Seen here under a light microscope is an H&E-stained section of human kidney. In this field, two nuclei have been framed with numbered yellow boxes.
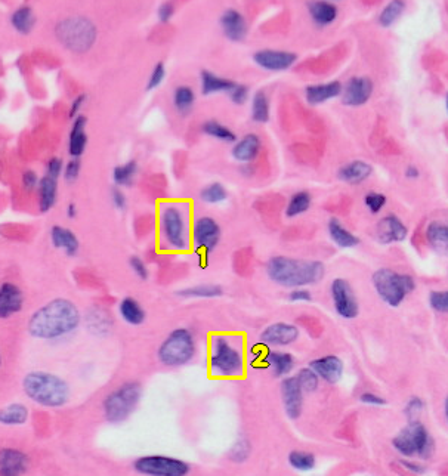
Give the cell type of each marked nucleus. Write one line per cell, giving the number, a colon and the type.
1: endothelial cell
2: loop of Henle or distal tubule cell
